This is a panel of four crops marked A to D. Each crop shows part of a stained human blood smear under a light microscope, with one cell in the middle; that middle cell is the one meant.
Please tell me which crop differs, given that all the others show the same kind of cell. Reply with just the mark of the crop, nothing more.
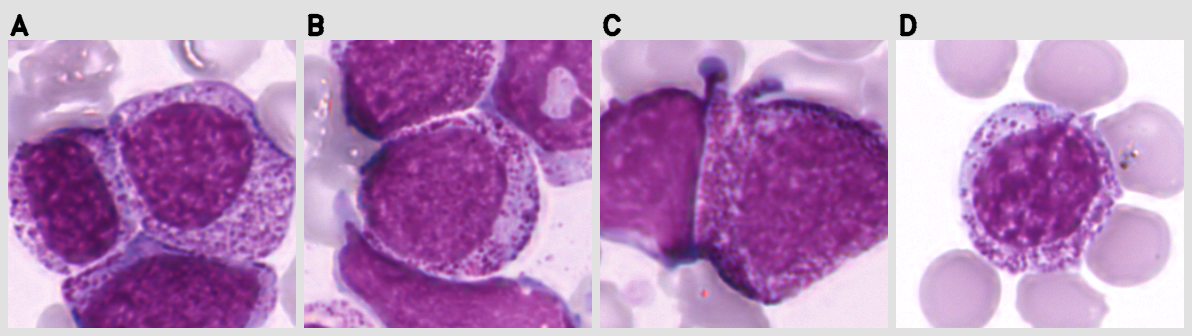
C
